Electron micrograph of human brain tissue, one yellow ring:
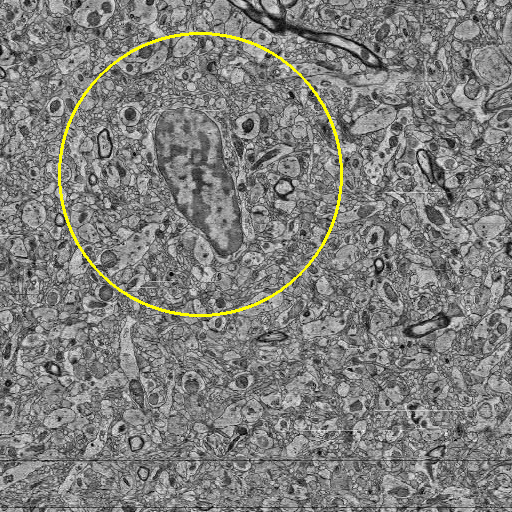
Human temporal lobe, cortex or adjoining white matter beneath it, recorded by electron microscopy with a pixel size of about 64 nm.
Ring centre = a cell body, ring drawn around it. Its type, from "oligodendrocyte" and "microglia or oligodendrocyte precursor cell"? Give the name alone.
microglia or oligodendrocyte precursor cell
